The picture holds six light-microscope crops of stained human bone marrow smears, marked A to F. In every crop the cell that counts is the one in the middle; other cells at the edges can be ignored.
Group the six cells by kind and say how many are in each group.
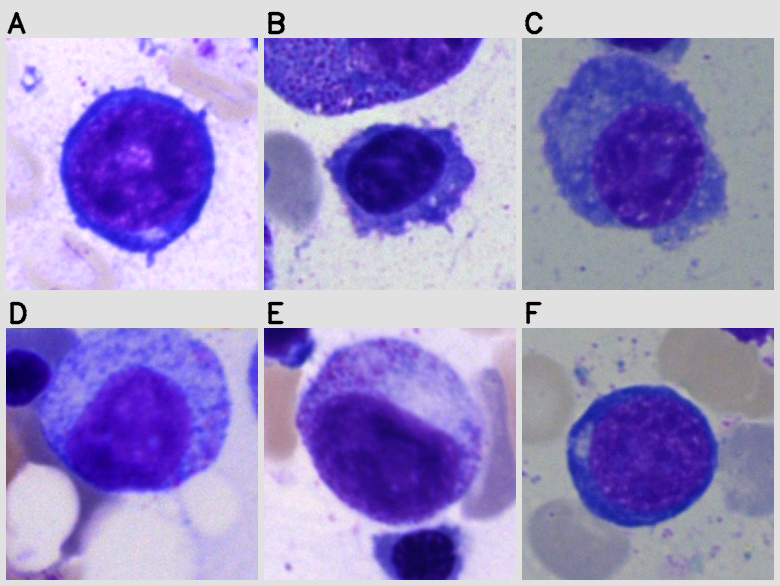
proerythroblast: 2
plasma cell: 2
promyelocyte: 2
